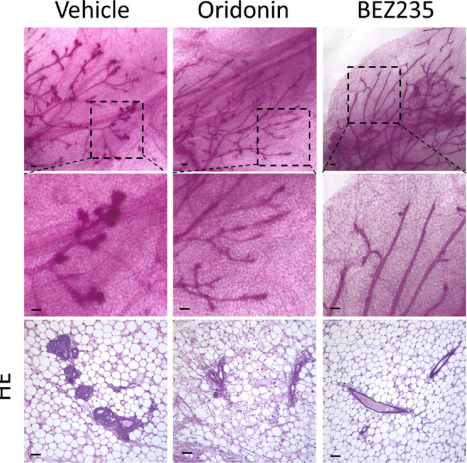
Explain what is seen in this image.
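Purple-stained branching ducts run through a pale, finely mottled fat pad; in one column the duct ends swell into dense, lobulated clusters, while in the others the ducts stay thin and sparsely branched. The enlarged insets repeat this, showing bulbous dark end clusters on one side and slender tubes elsewhere. In the pink-purple sections beneath, ducts and small epithelial nests sit among large clear fat cells, with solid nests in one column and thin single ducts in the others.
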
